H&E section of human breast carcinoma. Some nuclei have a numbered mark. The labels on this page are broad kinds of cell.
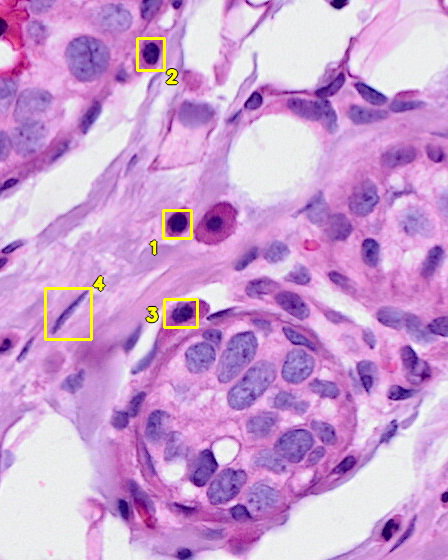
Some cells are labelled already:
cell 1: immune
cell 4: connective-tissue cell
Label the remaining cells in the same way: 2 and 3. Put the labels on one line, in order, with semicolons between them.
immune; immune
